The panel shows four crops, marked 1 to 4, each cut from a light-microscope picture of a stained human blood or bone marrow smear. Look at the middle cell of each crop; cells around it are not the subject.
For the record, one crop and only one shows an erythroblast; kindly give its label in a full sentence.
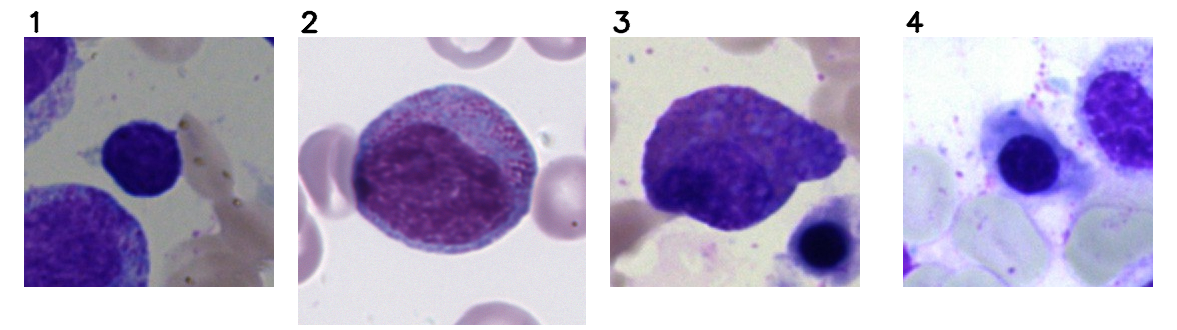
Crop 4 is the one depicting an erythroblast.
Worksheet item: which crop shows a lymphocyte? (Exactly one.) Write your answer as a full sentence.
Crop 1 is the one in this set that shows a lymphocyte.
